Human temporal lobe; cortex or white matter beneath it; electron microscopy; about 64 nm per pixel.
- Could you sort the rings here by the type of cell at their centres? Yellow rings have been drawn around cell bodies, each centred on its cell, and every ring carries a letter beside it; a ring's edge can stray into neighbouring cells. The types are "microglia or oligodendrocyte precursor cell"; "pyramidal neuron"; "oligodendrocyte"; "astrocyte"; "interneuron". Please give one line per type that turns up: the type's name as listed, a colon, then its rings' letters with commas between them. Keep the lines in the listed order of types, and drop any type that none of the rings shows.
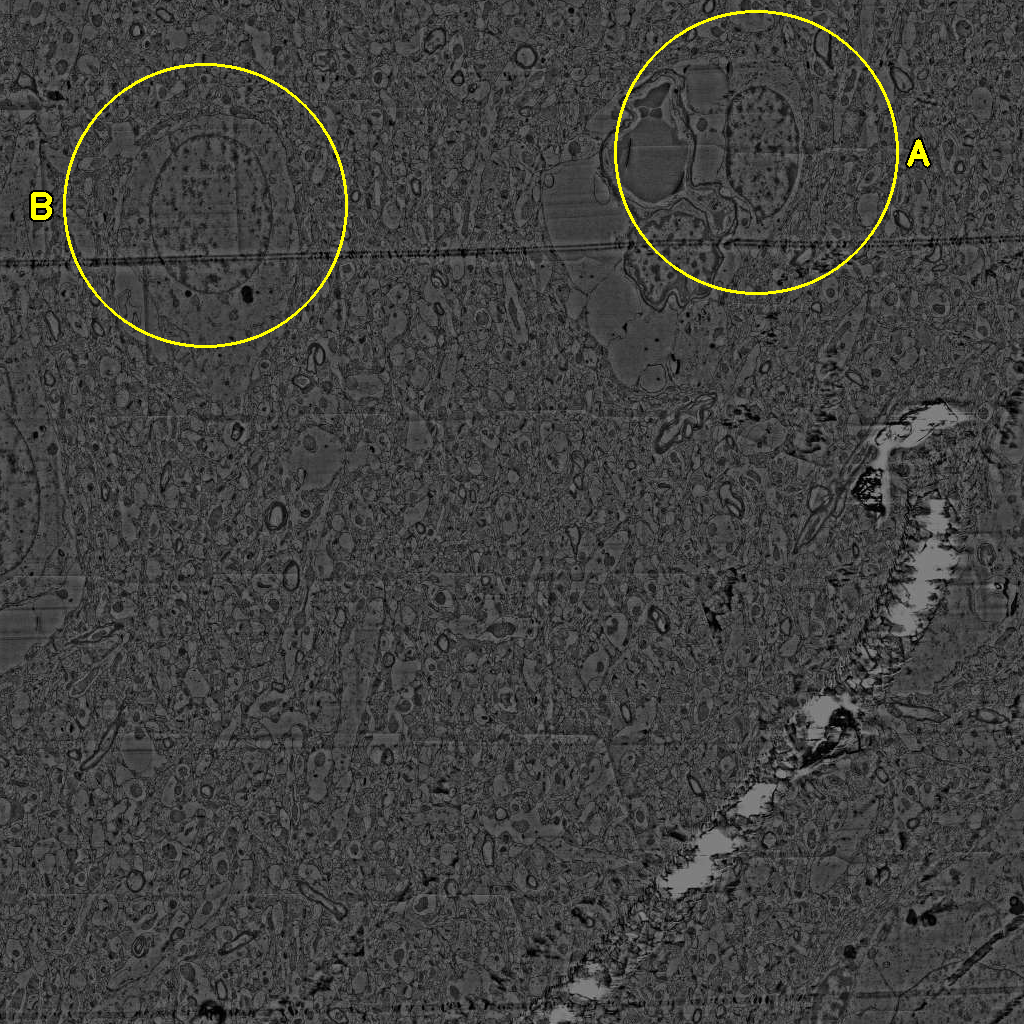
microglia or oligodendrocyte precursor cell: A
pyramidal neuron: B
